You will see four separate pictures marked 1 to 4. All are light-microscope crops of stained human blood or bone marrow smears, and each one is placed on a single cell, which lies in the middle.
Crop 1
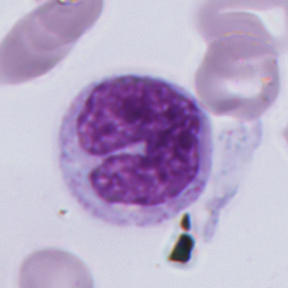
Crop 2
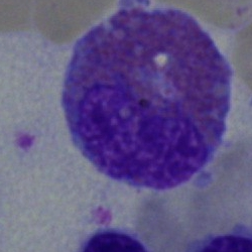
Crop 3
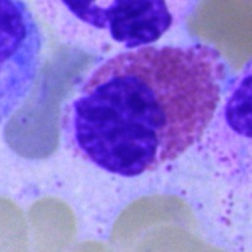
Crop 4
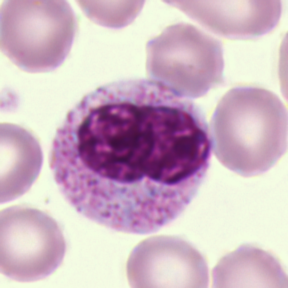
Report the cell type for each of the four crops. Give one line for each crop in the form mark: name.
1: band neutrophil
2: eosinophil
3: eosinophil
4: band neutrophil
